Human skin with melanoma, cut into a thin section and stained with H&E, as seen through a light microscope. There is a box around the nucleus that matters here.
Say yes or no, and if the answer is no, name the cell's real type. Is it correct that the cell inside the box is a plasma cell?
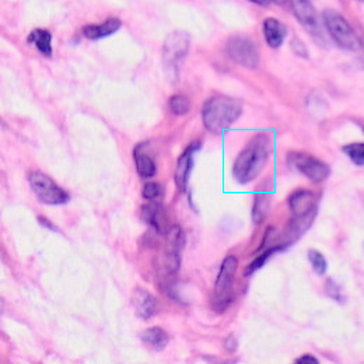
No, it is an endothelial cell.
